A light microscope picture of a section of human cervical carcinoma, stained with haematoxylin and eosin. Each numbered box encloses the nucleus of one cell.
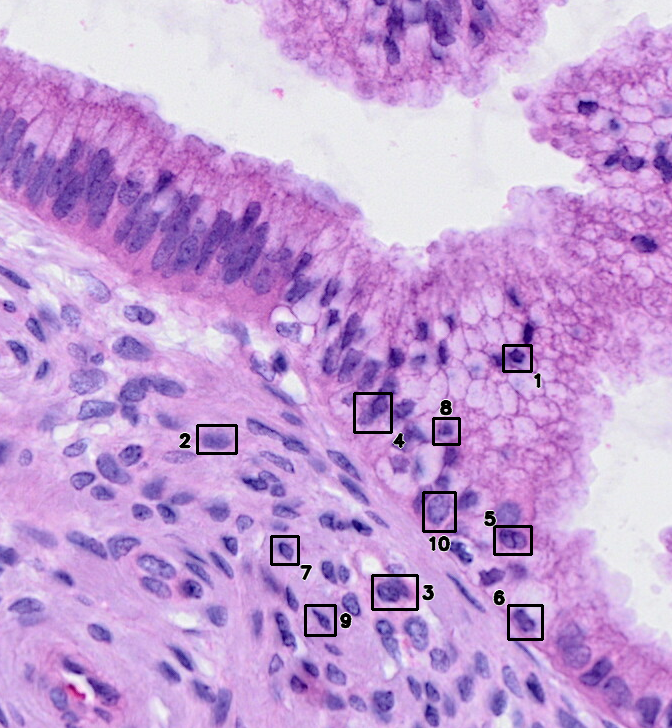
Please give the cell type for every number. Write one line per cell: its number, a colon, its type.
1: secretory epithelial cell
2: fibroblast
3: endothelial cell
4: secretory epithelial cell
5: secretory epithelial cell
6: secretory epithelial cell
7: fibroblast
8: secretory epithelial cell
9: fibroblast
10: secretory epithelial cell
